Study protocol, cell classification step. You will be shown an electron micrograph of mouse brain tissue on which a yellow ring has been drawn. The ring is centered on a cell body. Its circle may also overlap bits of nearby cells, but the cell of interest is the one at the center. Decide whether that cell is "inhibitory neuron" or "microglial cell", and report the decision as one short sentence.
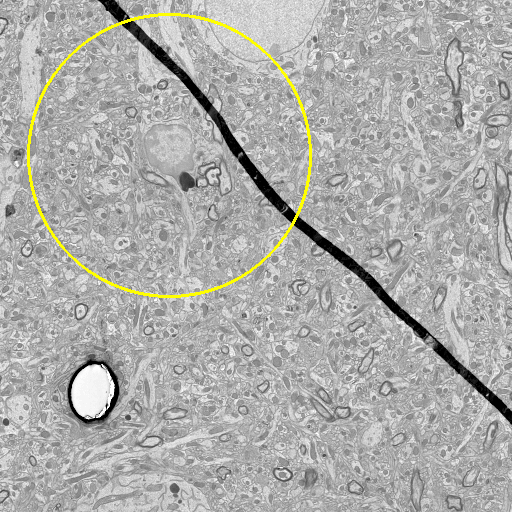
The marked cell is a microglial cell.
